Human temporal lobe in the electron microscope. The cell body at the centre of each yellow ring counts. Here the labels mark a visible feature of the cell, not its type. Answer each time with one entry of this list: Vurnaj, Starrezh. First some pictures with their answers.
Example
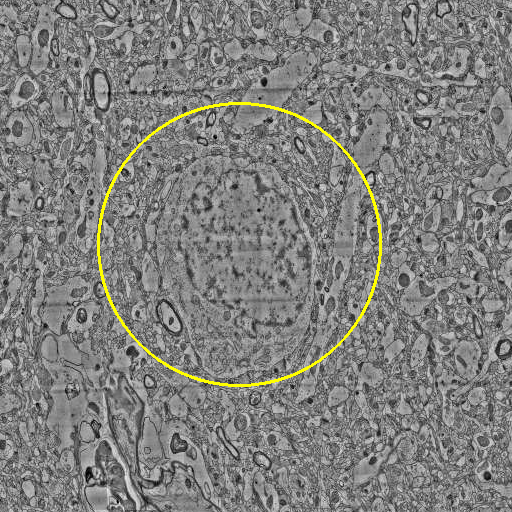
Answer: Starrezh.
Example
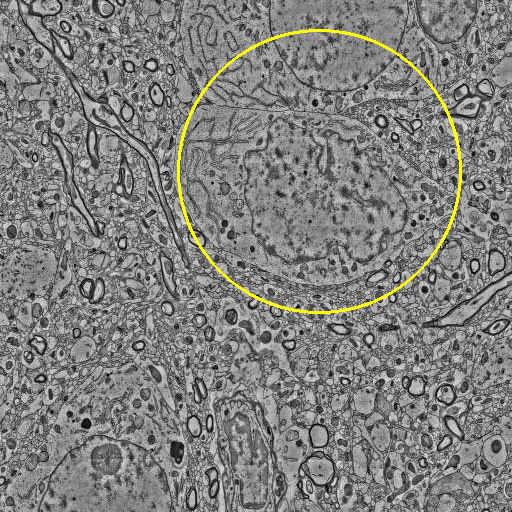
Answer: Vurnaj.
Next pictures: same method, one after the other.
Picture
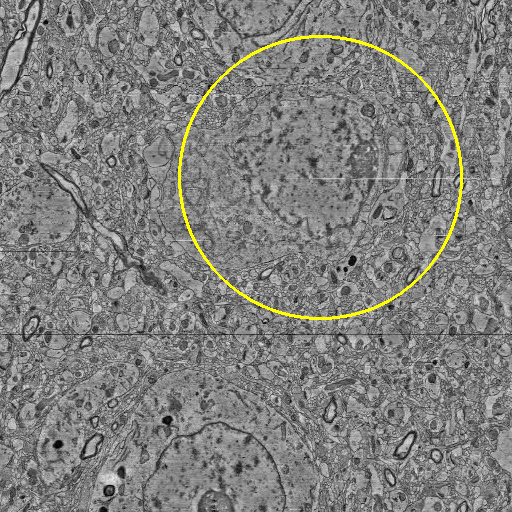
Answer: Vurnaj.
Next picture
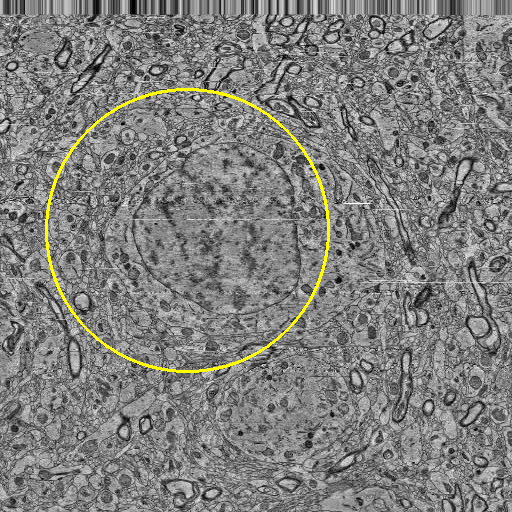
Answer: Starrezh.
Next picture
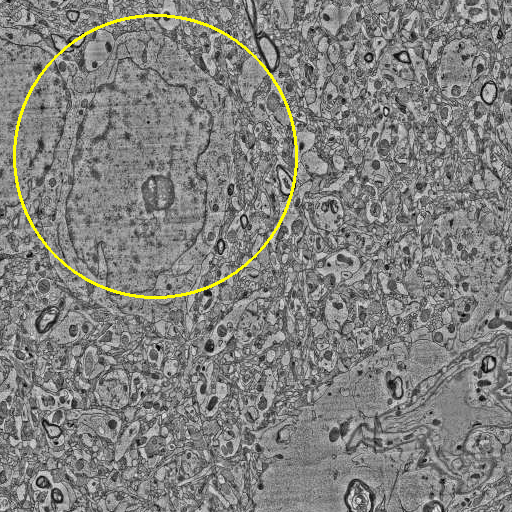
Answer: Vurnaj.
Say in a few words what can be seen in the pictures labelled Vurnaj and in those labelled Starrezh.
Vurnaj: deeply folded or indented nuclear envelopes; Starrezh: smooth nuclear envelopes without deep folds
